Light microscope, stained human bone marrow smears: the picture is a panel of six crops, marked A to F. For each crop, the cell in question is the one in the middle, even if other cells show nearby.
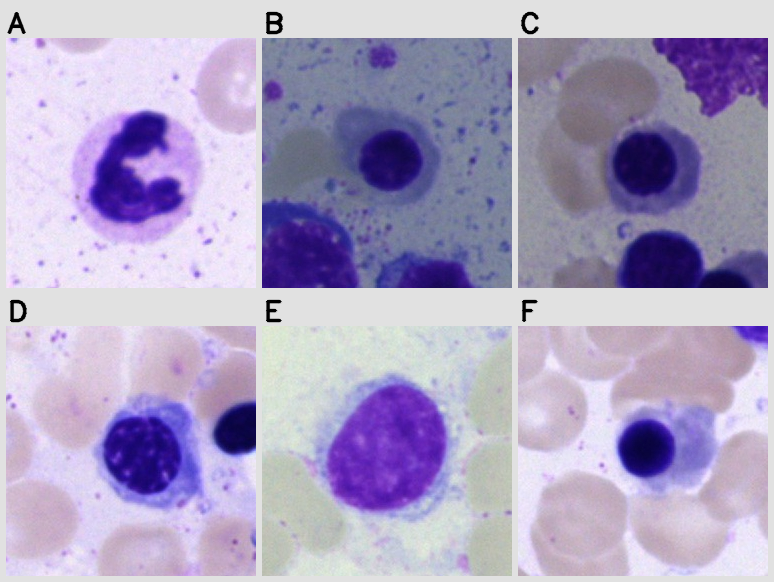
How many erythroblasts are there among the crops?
4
